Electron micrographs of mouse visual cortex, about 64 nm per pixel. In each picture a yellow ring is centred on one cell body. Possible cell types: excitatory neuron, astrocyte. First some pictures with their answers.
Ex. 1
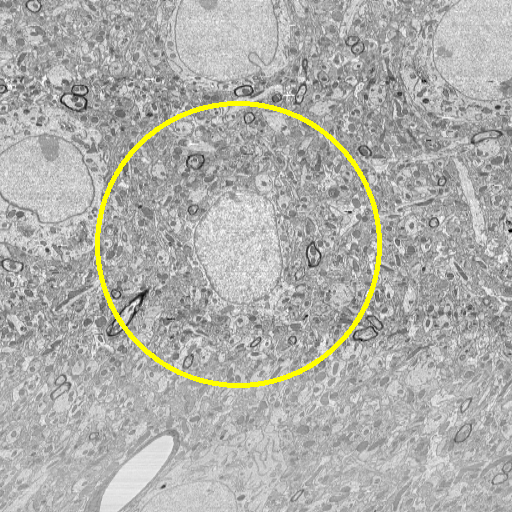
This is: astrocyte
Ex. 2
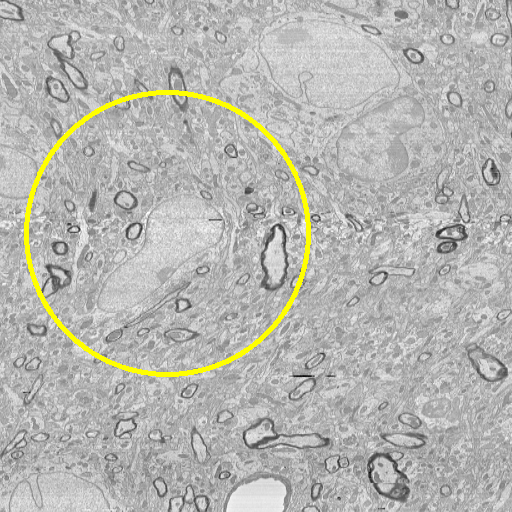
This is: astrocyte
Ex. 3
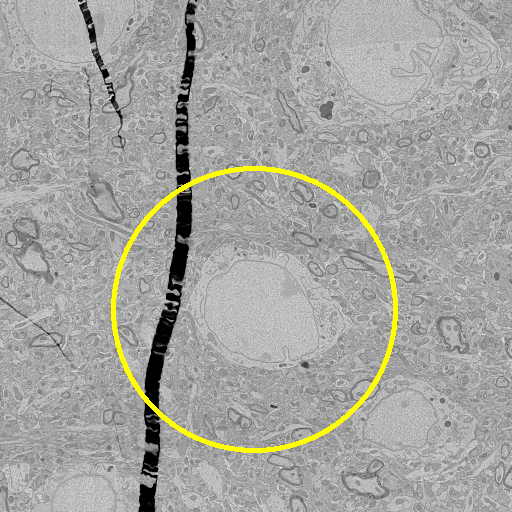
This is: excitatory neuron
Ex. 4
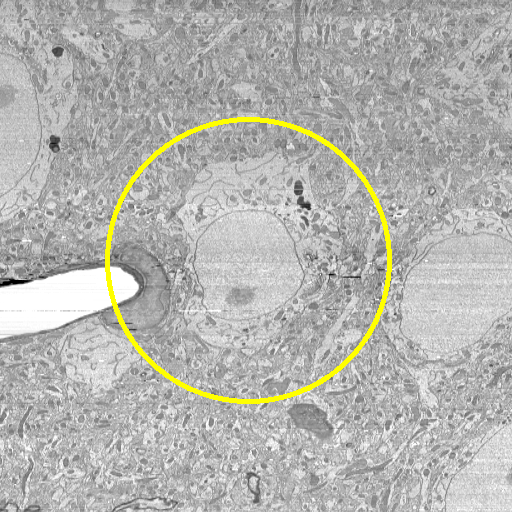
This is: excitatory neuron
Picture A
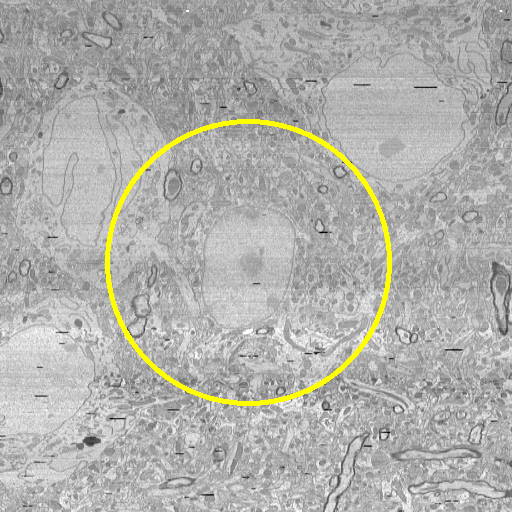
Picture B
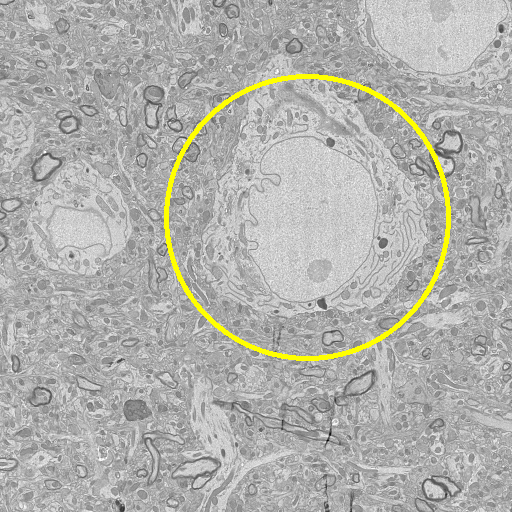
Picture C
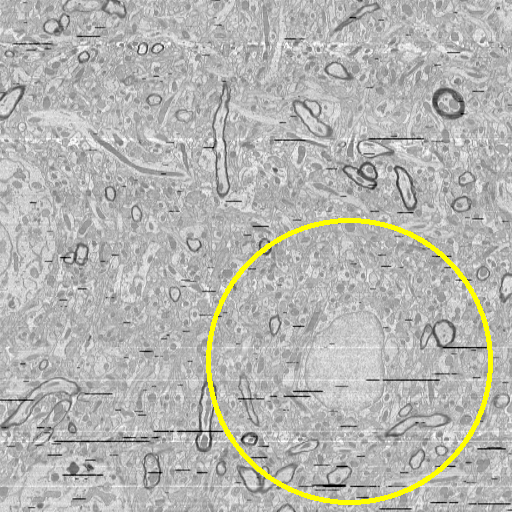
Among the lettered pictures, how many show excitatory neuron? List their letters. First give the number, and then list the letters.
1, namely B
